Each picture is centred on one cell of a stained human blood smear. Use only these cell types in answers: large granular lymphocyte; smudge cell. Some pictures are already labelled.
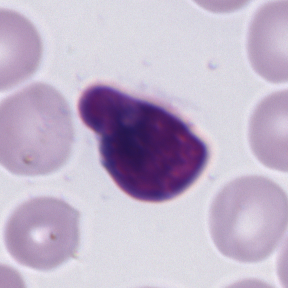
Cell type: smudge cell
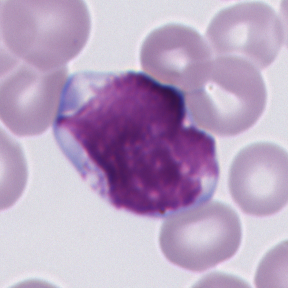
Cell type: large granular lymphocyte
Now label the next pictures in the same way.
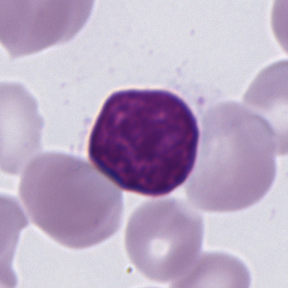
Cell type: smudge cell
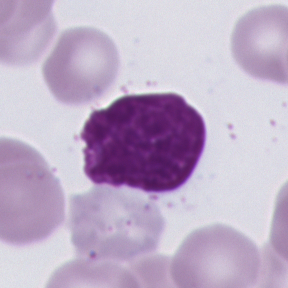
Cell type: smudge cell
